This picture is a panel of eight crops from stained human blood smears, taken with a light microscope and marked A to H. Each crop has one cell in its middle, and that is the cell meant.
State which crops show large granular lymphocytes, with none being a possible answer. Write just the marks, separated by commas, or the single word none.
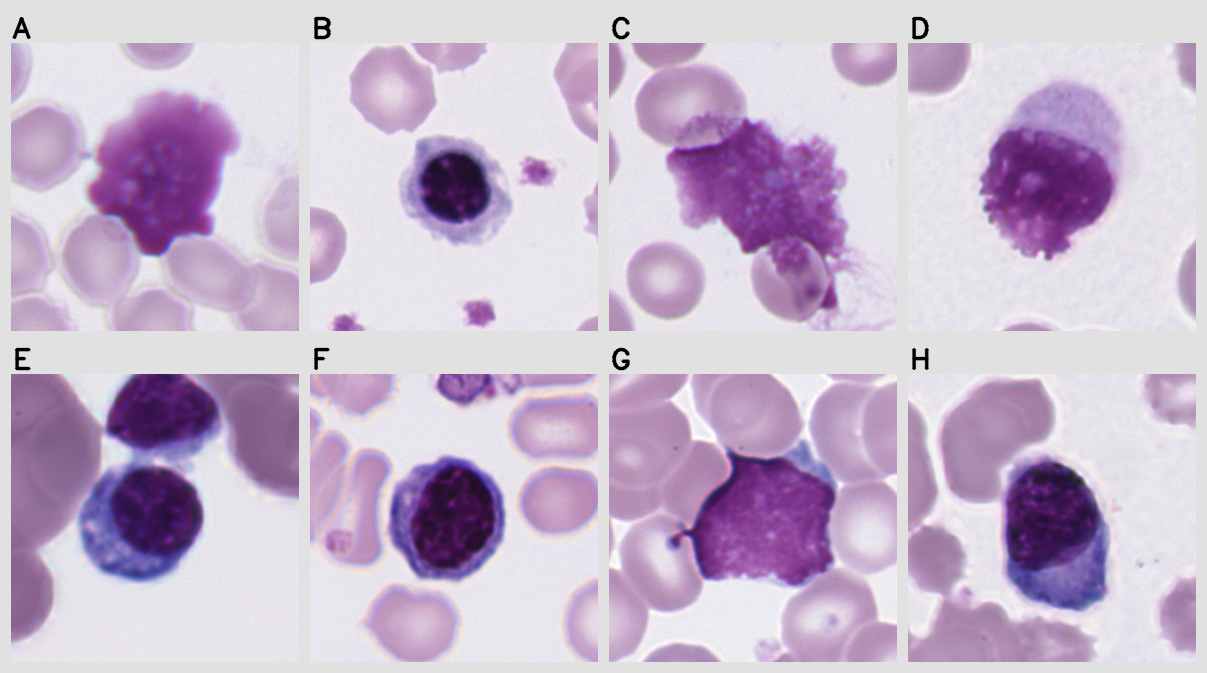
none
